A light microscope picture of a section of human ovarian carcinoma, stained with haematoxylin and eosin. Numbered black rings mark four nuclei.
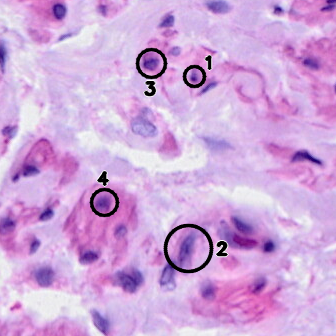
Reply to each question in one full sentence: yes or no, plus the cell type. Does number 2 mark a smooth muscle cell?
No, the cell identified by number 2 is an endothelial cell, not a smooth muscle cell.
